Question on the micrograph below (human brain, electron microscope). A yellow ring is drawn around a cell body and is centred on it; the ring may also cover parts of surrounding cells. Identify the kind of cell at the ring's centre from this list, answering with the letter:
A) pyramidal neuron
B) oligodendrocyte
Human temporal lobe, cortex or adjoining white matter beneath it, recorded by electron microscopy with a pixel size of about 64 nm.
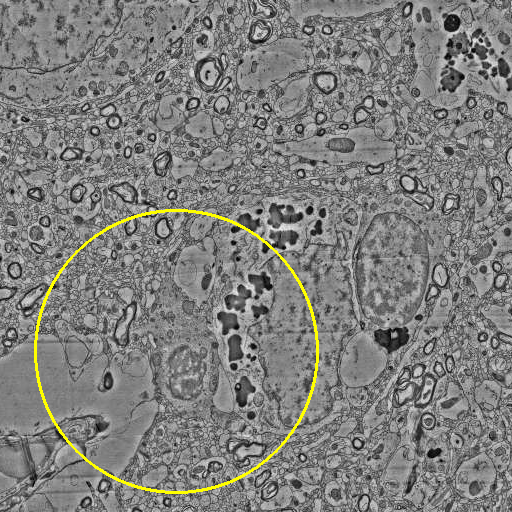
B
